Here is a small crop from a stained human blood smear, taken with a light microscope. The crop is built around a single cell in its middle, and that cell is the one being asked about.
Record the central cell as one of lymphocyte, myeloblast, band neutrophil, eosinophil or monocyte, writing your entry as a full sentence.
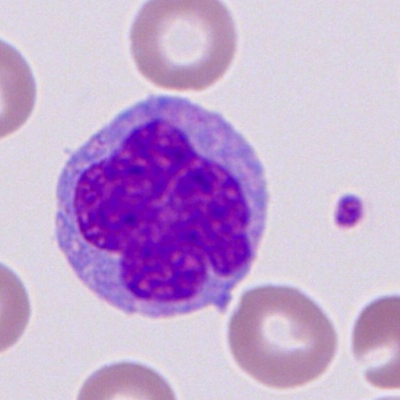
This particular crop is centered on a monocyte.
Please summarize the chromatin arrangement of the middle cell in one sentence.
Chromatin texture is fine, and coarse clumps are absent.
